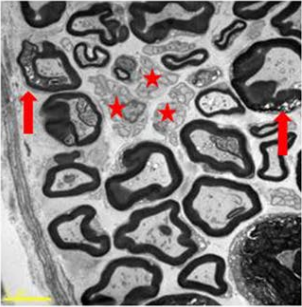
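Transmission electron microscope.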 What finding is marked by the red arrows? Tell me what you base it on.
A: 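The arrows point at dark rings whose layers are split apart or folded. On this evidence: Injured myelin sheaths.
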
